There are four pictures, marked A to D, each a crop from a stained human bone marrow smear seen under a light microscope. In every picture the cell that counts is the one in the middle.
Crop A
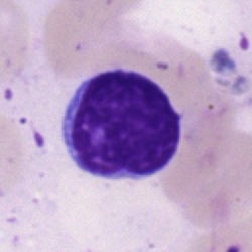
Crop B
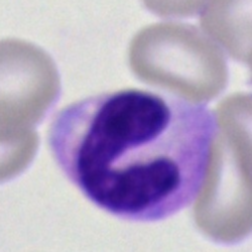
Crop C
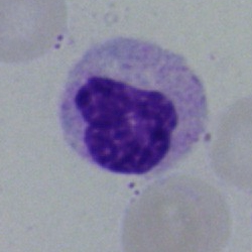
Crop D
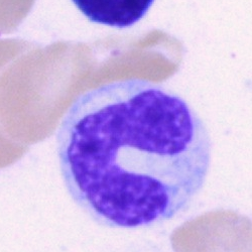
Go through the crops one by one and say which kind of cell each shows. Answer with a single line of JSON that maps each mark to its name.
{"A": "lymphocyte", "B": "band neutrophil", "C": "segmented neutrophil", "D": "band neutrophil"}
